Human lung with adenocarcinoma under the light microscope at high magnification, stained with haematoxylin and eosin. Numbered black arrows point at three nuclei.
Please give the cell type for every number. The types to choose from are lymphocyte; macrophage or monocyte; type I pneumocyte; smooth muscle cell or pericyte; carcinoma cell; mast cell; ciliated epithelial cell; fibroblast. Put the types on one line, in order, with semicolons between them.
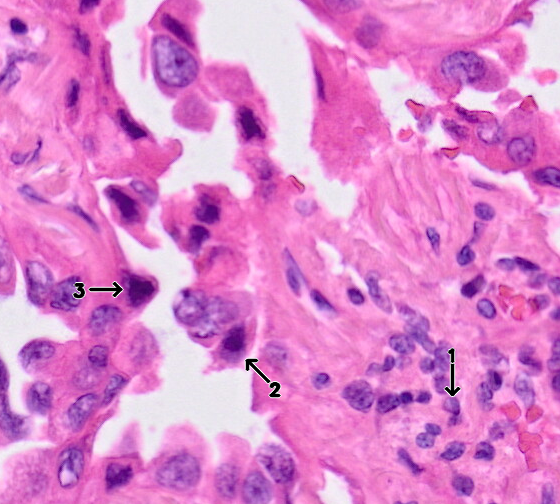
lymphocyte; carcinoma cell; carcinoma cell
